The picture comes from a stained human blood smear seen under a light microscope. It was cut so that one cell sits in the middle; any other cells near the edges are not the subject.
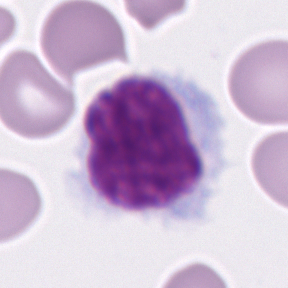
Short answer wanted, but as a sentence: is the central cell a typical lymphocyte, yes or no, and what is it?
No, the central cell is a hairy cell; it should not be labelled a typical lymphocyte.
